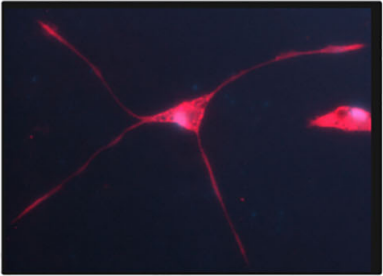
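Here a single neuronal-like cell lies at the centre, its body somewhat flattened and irregular, with a faint blue nucleus inside the red cytoplasm. From it run three or four long, very thin red processes that reach across the field with little branching. At the right edge part of a neighbouring cell is seen.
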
